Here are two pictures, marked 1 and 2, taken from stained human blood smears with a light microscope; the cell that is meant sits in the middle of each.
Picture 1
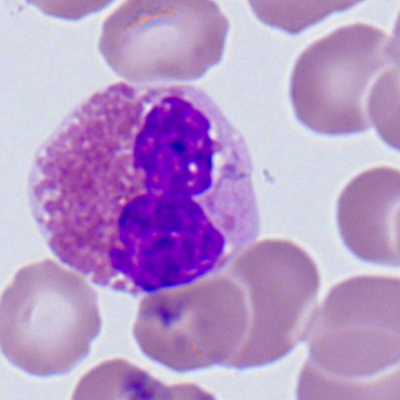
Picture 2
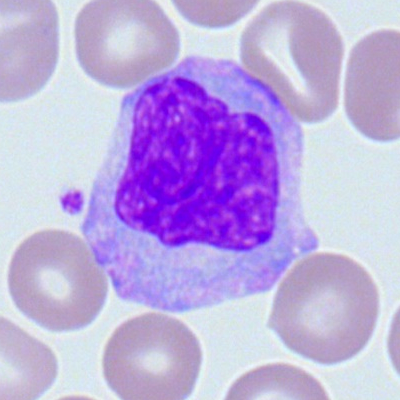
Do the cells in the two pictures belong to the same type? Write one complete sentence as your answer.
No, the types are not the same, since picture 1 shows an eosinophil and picture 2 a monocyte.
